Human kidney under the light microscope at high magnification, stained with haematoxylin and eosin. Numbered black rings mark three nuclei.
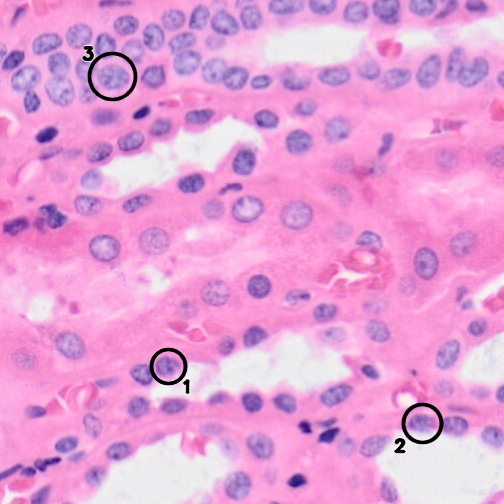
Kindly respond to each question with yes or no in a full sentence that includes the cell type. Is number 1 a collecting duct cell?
No, cell 1 should be classed as a loop of Henle or distal tubule cell, not as a collecting duct cell.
